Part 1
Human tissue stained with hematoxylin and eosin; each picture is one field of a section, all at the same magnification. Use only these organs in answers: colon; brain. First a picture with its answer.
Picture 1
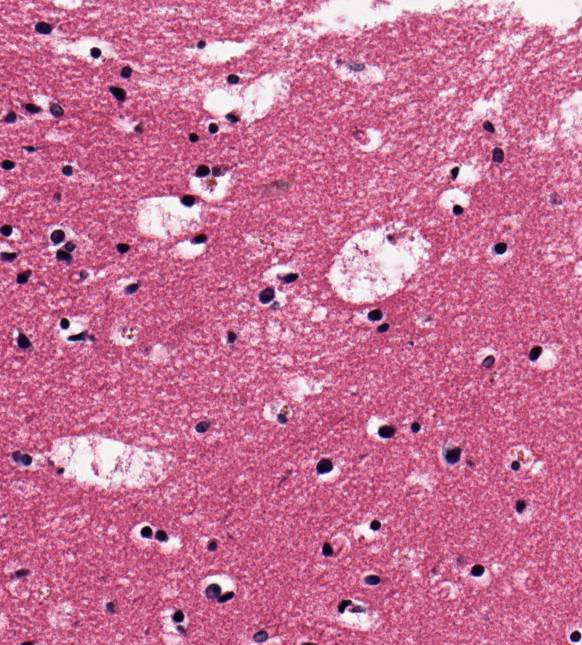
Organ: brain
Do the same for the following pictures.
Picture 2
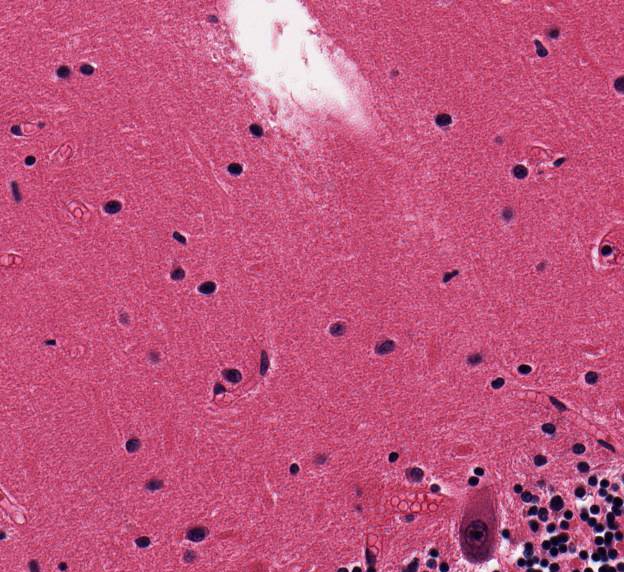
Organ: brain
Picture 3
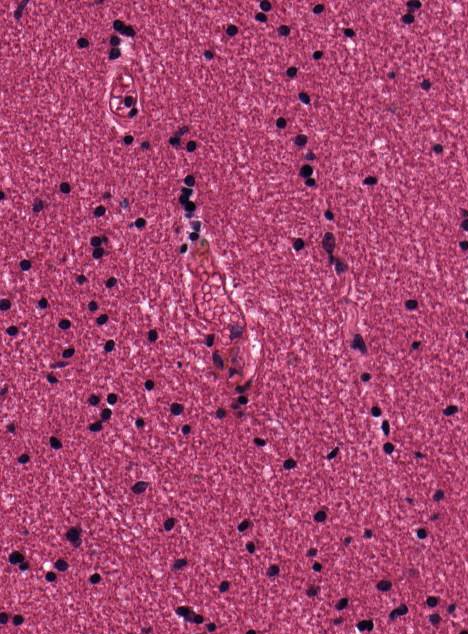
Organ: brain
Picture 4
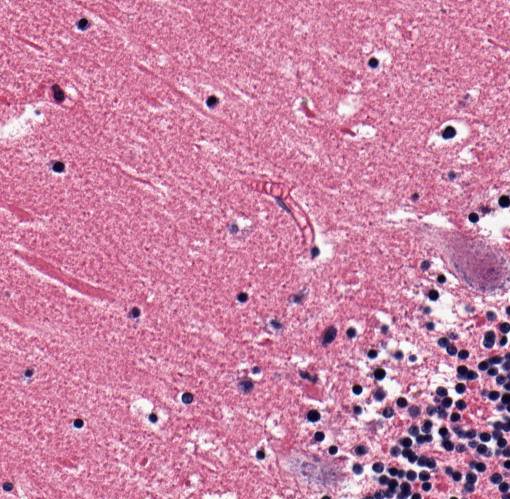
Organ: brain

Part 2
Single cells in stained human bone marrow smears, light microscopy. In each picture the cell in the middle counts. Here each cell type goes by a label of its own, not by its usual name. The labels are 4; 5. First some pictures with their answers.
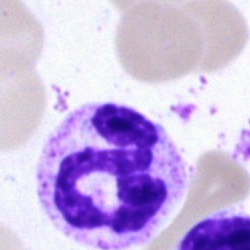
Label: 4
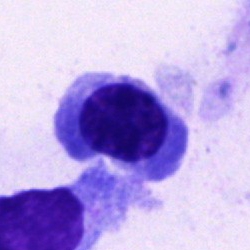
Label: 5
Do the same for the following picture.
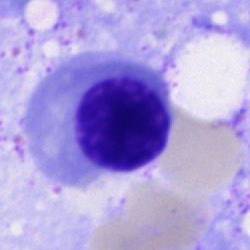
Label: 5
